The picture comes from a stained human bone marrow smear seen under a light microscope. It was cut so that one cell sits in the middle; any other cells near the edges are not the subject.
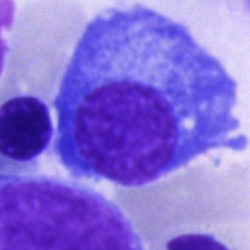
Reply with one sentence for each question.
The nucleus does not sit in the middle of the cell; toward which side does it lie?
Toward the lower left of the cell lies its nucleus.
